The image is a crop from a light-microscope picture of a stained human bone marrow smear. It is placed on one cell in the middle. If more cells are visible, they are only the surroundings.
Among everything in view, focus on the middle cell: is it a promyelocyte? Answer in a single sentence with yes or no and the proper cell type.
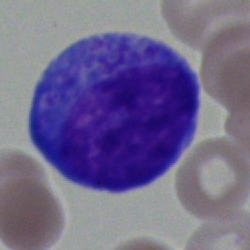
Yes, in the middle of the crop is a promyelocyte.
